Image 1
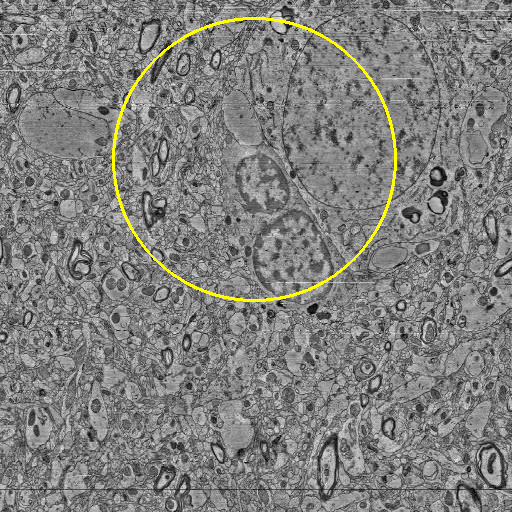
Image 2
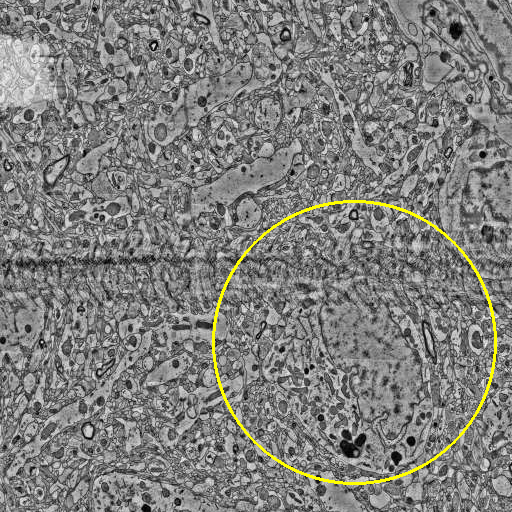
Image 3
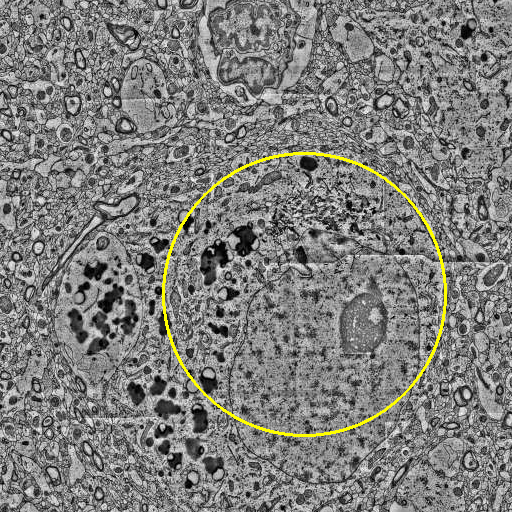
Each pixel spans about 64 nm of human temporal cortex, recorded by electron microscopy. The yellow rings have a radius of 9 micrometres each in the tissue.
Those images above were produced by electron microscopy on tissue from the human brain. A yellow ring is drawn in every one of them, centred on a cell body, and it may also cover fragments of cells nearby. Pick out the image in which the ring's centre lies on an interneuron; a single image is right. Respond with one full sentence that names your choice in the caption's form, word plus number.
Image 2 is my choice: its ring is centred on the requested cell.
